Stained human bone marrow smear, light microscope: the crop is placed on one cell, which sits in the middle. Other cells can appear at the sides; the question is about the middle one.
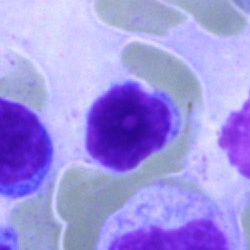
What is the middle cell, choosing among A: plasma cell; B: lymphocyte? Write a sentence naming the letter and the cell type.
The cell occupying the centre is a lymphocyte; option B is thus the correct choice.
